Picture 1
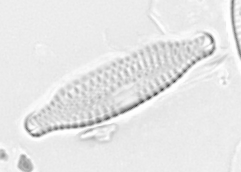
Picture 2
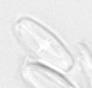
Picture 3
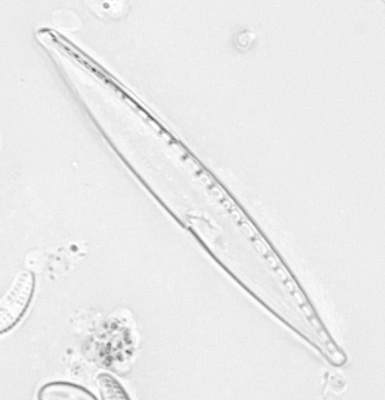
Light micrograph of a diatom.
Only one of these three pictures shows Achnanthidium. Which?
Picture 2.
